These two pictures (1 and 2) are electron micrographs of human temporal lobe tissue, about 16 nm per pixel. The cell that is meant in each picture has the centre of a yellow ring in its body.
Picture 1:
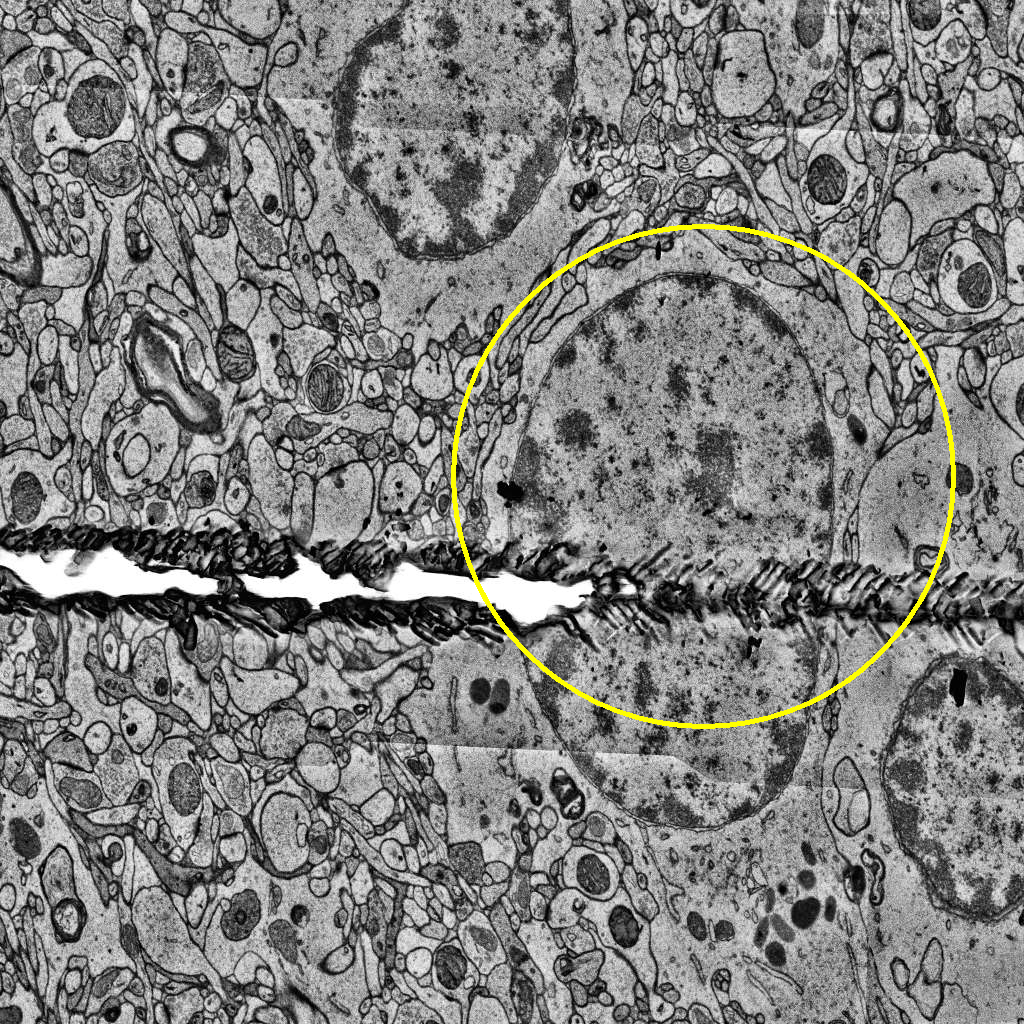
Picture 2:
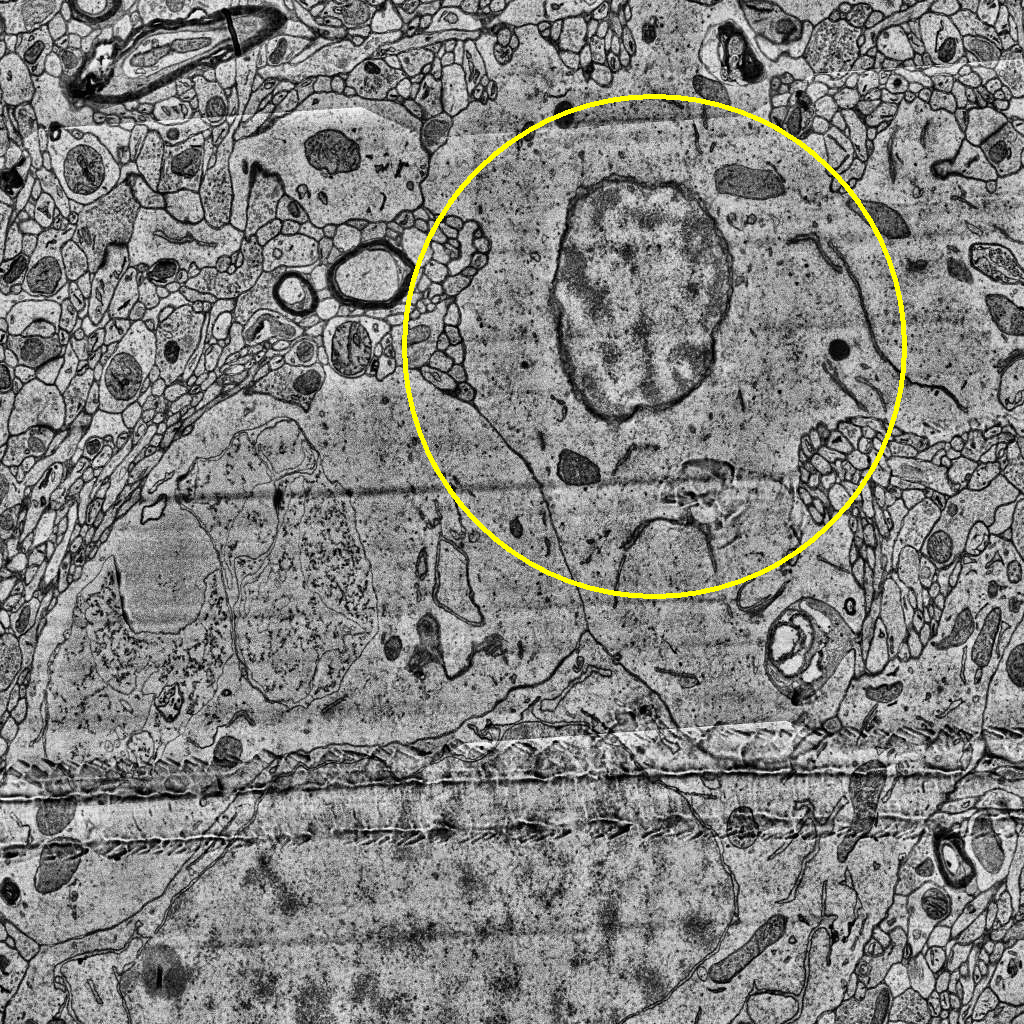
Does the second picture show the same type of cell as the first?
Yes, the two pictures both show astrocytes.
